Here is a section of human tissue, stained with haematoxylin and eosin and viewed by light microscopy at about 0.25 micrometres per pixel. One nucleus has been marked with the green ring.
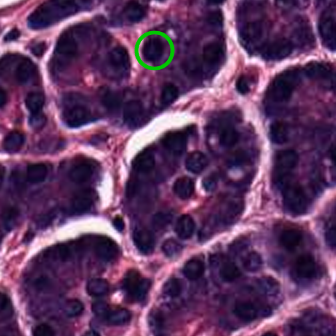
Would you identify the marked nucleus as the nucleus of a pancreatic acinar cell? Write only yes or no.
yes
